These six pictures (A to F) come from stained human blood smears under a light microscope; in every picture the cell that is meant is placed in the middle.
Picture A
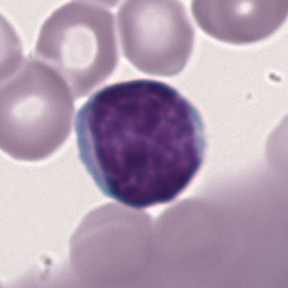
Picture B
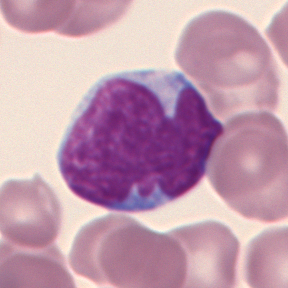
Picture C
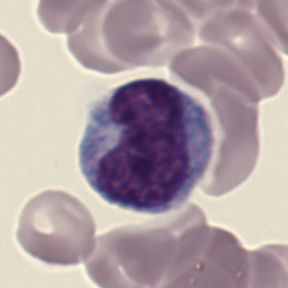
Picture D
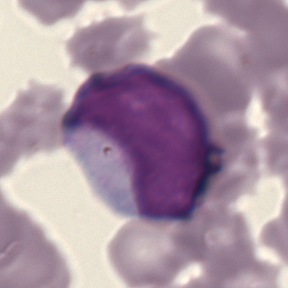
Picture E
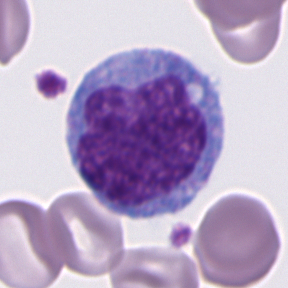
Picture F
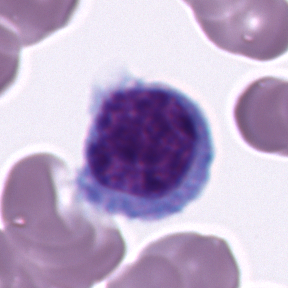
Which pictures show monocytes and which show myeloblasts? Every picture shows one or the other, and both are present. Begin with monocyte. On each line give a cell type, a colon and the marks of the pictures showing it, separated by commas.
monocyte: C, E, F
myeloblast: A, B, D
